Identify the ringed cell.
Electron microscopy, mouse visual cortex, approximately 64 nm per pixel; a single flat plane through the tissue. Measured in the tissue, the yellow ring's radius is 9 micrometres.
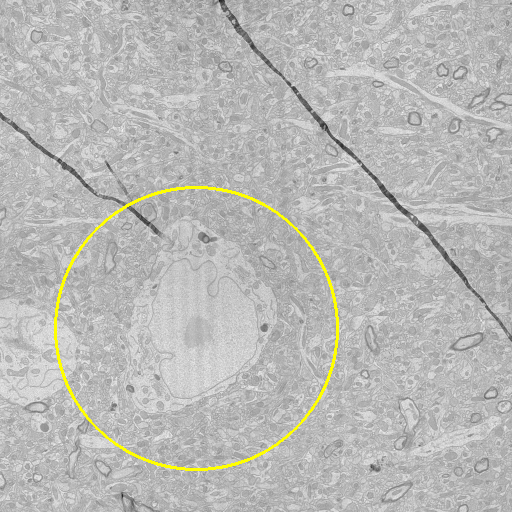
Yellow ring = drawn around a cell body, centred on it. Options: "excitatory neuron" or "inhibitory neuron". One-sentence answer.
What the ring is centred on is an excitatory neuron.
